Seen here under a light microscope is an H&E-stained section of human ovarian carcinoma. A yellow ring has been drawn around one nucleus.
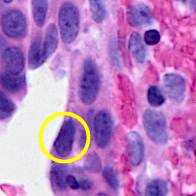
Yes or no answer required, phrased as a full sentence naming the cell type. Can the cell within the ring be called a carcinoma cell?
Yes, as far as cell type goes, the cell within the ring is a carcinoma cell.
